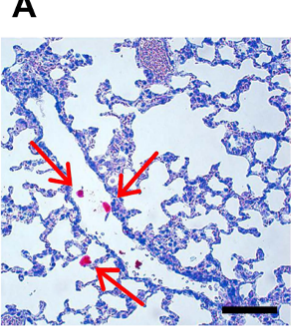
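The septa are only a few cells thick and carry small blue nuclei, with pinkish-purple cytoplasm between them. A larger, elongated lumen runs diagonally across the field, and at its edges lie a few isolated cells stained bright red, standing out sharply against the blue and pale background. These red cells are single and scattered rather than forming clusters or a mass, so they are individual stained cells lodged within otherwise ordinary lung tissue.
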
